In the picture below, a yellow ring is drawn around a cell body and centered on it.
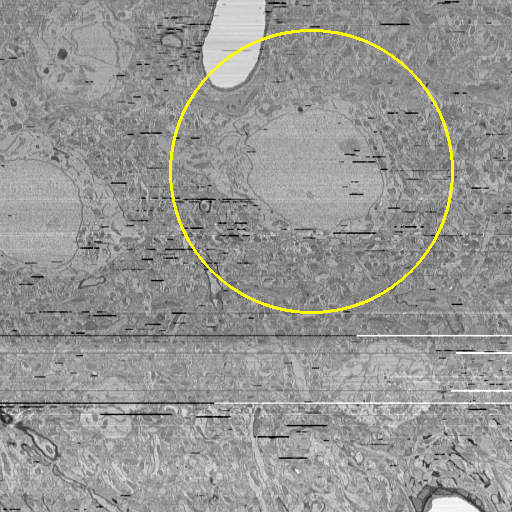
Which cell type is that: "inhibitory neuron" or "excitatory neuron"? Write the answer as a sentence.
The cell centered in the ring is an excitatory neuron.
